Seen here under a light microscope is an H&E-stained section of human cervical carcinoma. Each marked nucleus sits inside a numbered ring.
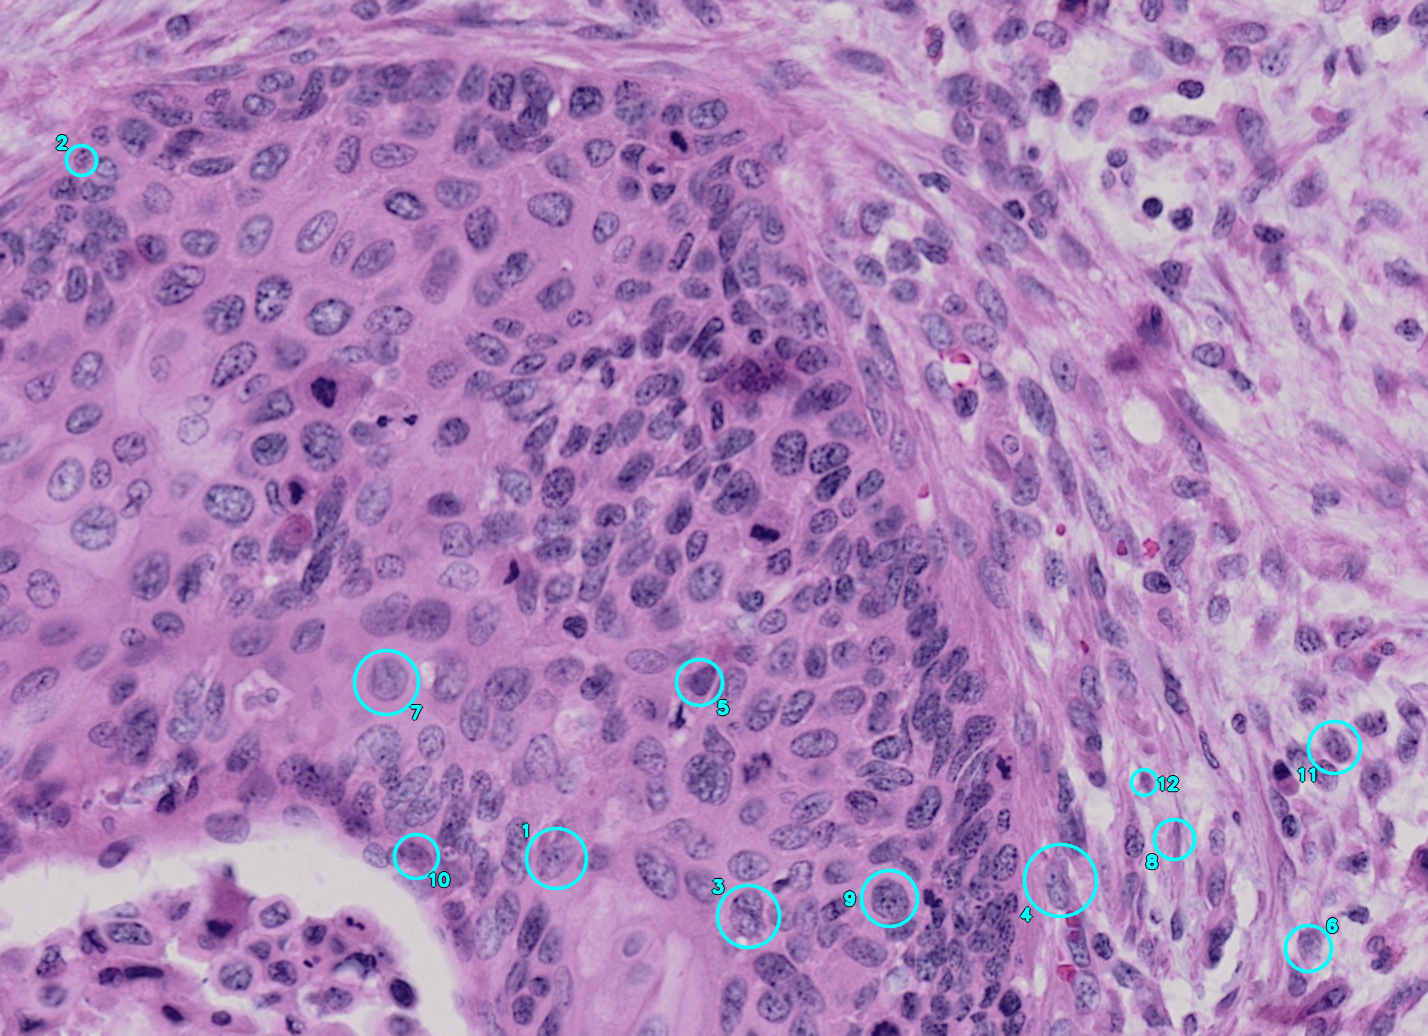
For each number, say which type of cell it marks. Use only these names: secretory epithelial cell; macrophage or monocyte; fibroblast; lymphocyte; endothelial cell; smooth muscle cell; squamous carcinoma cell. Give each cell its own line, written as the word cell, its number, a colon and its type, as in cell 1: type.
cell 1: squamous carcinoma cell
cell 2: squamous carcinoma cell
cell 3: squamous carcinoma cell
cell 4: endothelial cell
cell 5: squamous carcinoma cell
cell 6: fibroblast
cell 7: squamous carcinoma cell
cell 8: fibroblast
cell 9: squamous carcinoma cell
cell 10: squamous carcinoma cell
cell 11: macrophage or monocyte
cell 12: fibroblast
